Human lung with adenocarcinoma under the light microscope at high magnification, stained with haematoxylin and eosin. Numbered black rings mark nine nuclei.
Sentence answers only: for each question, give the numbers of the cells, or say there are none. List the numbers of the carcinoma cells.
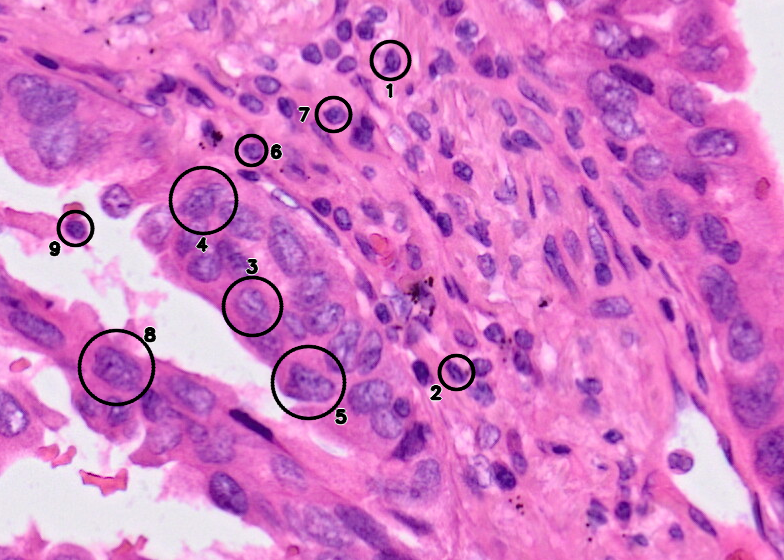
The cells with labels 3, 4, 5 and 8 are carcinoma cells.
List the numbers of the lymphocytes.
The cells given the numbers 1, 2, 7 and 9 are lymphocytes.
